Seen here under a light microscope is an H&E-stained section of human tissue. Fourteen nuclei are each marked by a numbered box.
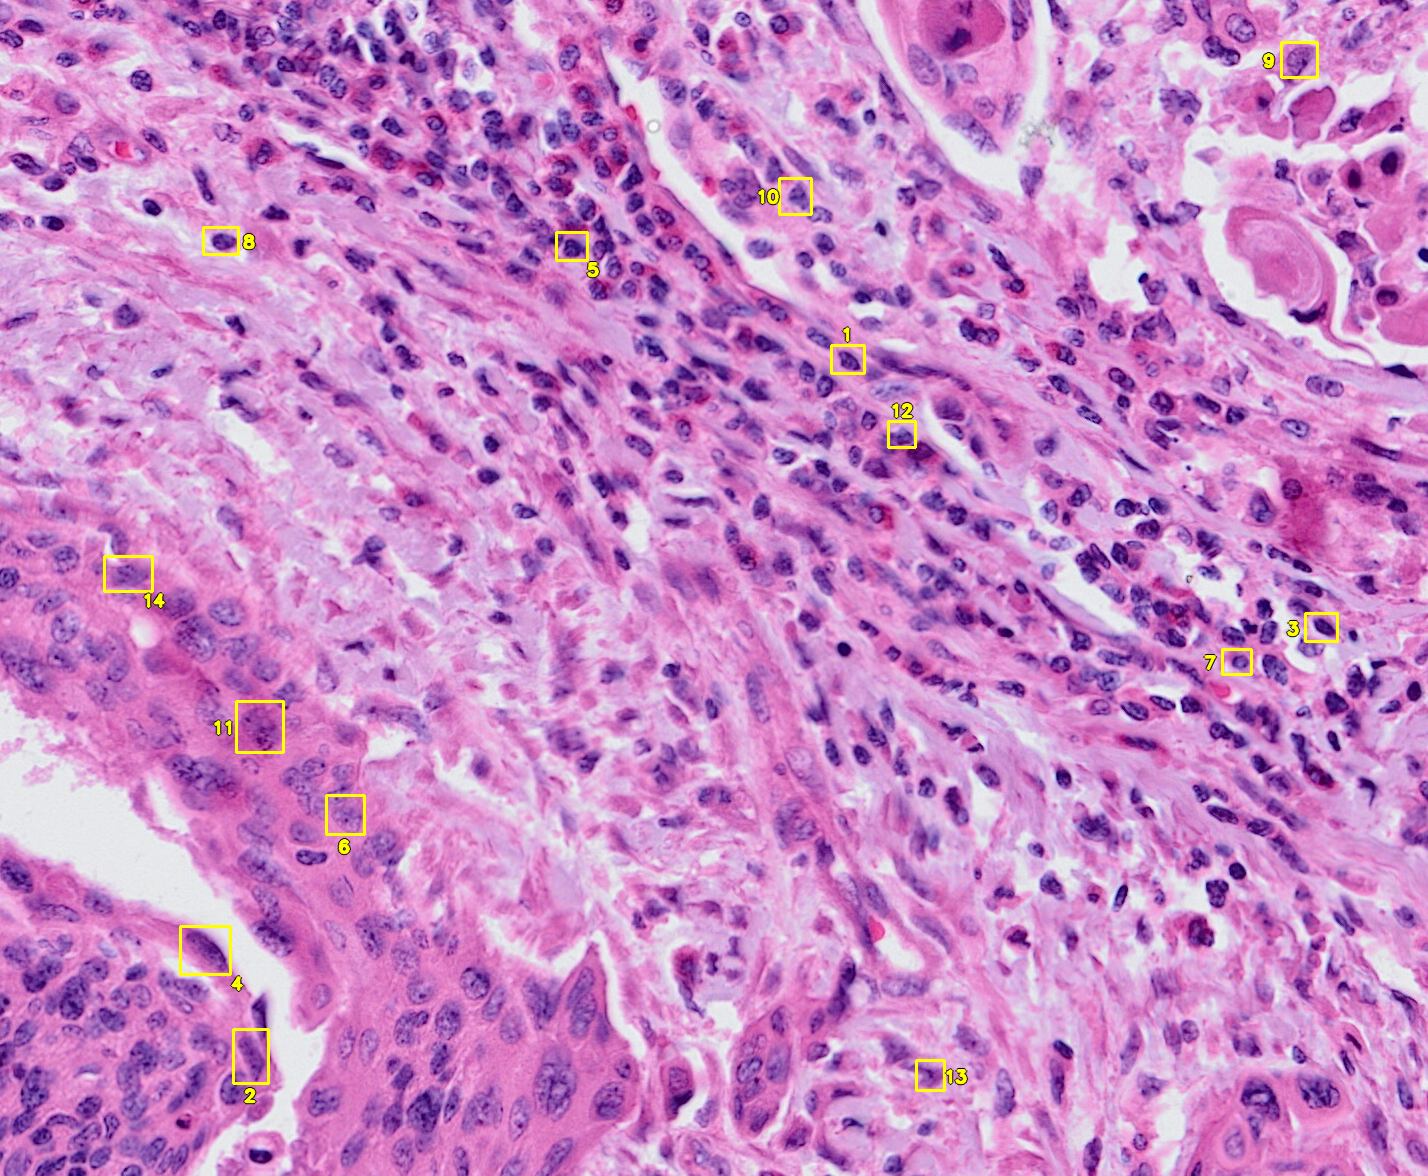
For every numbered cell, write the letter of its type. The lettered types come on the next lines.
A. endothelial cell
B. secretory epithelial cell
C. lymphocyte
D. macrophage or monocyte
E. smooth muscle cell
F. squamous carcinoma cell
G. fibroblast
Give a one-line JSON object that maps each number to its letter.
{"1": "C", "2": "F", "3": "C", "4": "F", "5": "C", "6": "F", "7": "C", "8": "C", "9": "D", "10": "C", "11": "F", "12": "C", "13": "G", "14": "F"}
